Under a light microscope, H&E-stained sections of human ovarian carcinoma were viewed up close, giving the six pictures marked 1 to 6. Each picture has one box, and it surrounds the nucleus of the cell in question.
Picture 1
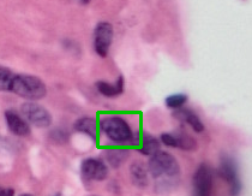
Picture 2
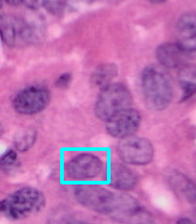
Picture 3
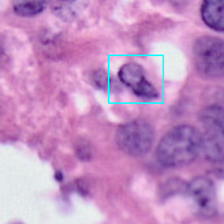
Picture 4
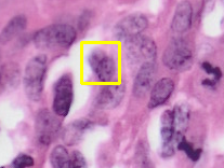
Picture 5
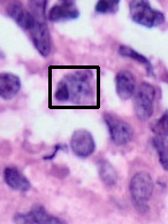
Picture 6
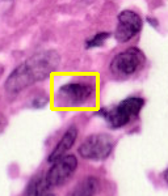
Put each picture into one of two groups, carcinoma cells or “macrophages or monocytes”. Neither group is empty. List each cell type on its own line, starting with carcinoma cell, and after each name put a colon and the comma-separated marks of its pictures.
carcinoma cell: 1, 2, 4, 6
macrophage or monocyte: 3, 5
